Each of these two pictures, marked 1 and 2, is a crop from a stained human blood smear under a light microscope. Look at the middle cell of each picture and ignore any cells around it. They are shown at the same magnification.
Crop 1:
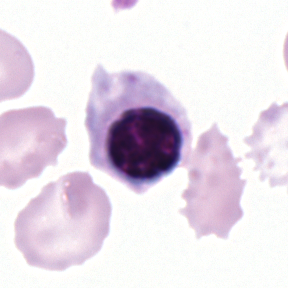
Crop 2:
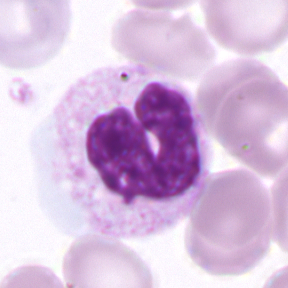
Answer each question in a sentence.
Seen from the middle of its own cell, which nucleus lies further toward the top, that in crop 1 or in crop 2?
Seen within its cell, the nucleus in crop 2 lies further toward the top.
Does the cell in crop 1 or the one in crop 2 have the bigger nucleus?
Crop 2 shows the larger nucleus; it covers about 2.5 times the area of the nucleus in crop 1.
